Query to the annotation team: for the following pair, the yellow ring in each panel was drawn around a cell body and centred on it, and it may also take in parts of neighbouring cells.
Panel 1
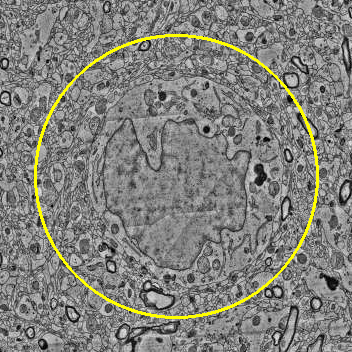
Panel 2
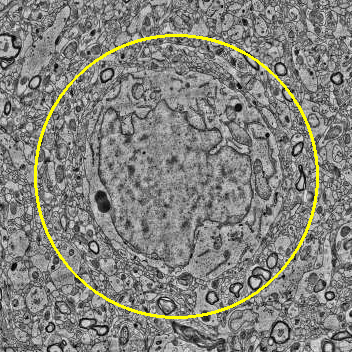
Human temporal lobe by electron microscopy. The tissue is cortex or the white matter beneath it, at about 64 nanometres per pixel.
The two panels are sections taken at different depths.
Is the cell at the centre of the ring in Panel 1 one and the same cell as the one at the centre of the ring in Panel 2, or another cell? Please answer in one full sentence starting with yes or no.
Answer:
Yes, a single cell is the subject of both yellow rings.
